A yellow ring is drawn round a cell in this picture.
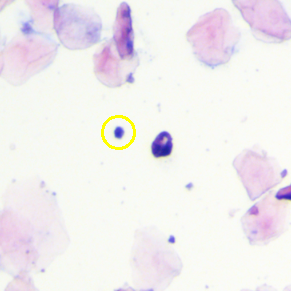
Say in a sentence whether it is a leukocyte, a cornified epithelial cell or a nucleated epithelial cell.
The cell in the ring is a leukocyte.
